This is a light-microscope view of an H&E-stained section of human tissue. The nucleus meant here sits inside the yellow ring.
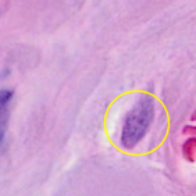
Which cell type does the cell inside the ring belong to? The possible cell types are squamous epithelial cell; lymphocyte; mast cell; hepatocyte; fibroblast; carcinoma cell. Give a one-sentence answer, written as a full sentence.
Considered by cell type, the cell inside the ring is a fibroblast.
